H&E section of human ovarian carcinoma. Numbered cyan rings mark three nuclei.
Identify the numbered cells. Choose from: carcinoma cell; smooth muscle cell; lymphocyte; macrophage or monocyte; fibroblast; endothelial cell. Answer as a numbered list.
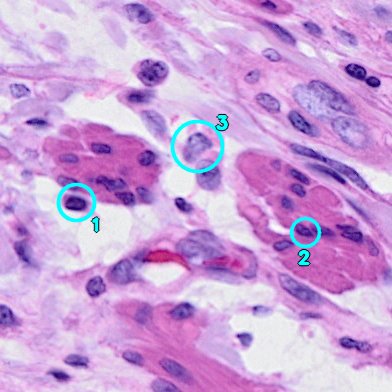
1. lymphocyte
2. smooth muscle cell
3. macrophage or monocyte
